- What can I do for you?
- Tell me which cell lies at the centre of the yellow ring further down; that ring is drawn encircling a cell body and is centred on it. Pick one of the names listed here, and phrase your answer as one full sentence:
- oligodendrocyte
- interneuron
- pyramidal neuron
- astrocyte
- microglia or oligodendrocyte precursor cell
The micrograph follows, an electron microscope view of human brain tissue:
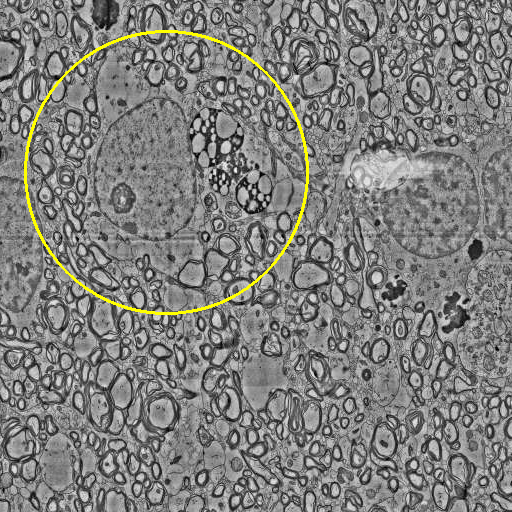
The cell whose body lies at the centre of the yellow ring is an astrocyte.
